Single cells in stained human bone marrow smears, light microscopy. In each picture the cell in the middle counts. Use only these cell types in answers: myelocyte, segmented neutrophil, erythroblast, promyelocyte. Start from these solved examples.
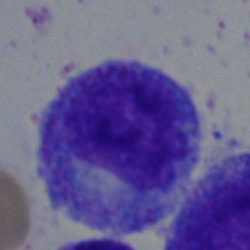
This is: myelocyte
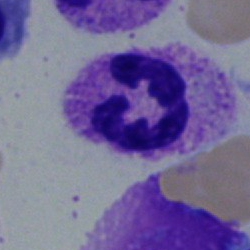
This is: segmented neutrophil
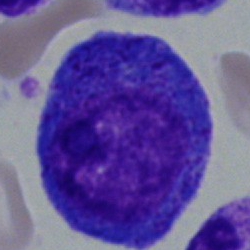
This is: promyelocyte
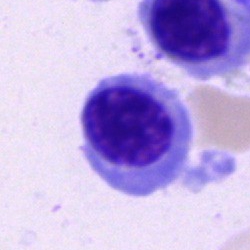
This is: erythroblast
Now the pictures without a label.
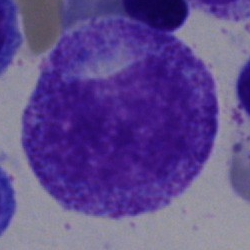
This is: promyelocyte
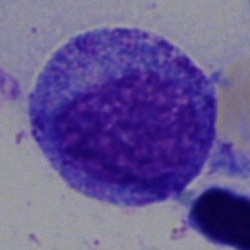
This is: promyelocyte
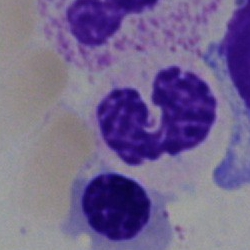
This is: segmented neutrophil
